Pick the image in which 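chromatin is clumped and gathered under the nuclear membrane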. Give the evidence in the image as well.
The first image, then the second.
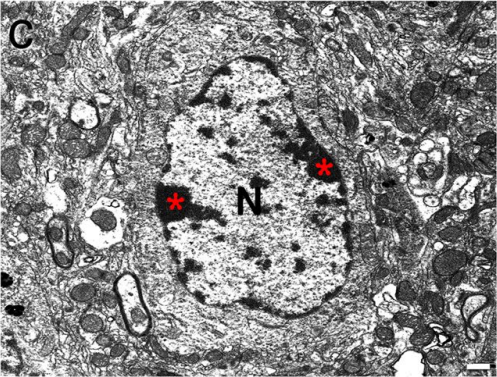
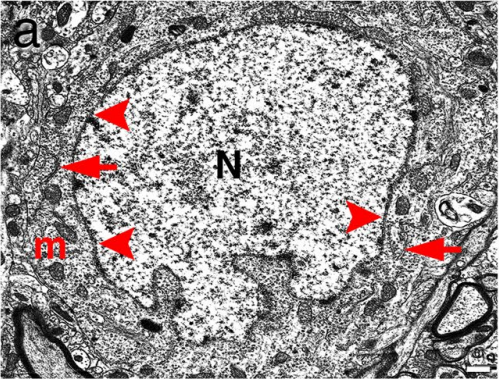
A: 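First image: dark chromatin clumps lie along the nuclear border. Second image: the nucleus is evenly pale with finely spread chromatin.
Conclusion: the first image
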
